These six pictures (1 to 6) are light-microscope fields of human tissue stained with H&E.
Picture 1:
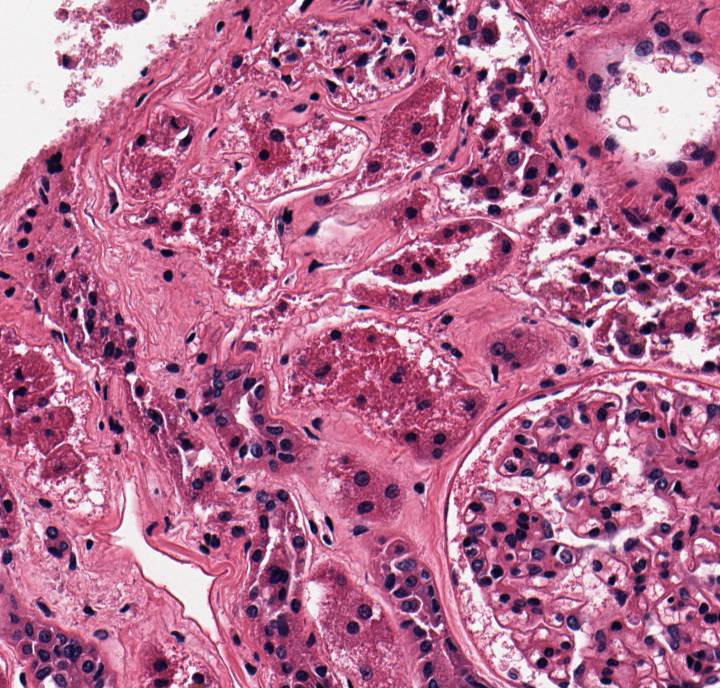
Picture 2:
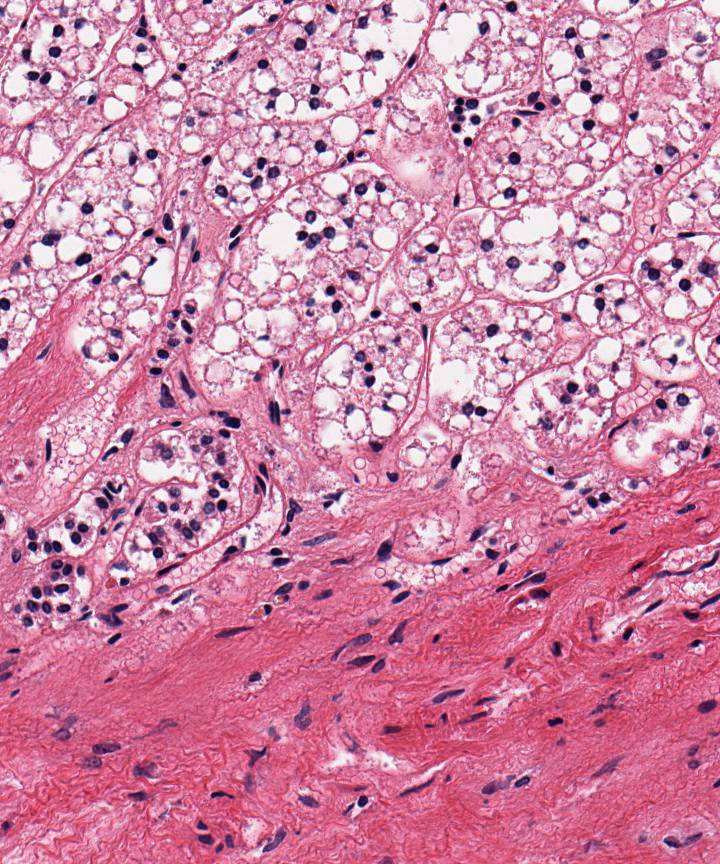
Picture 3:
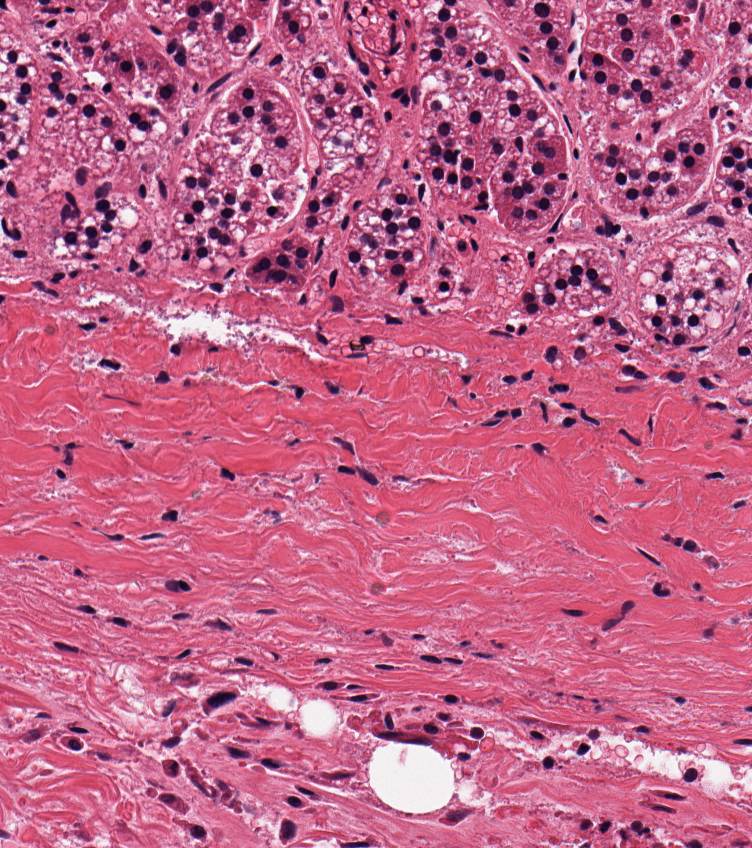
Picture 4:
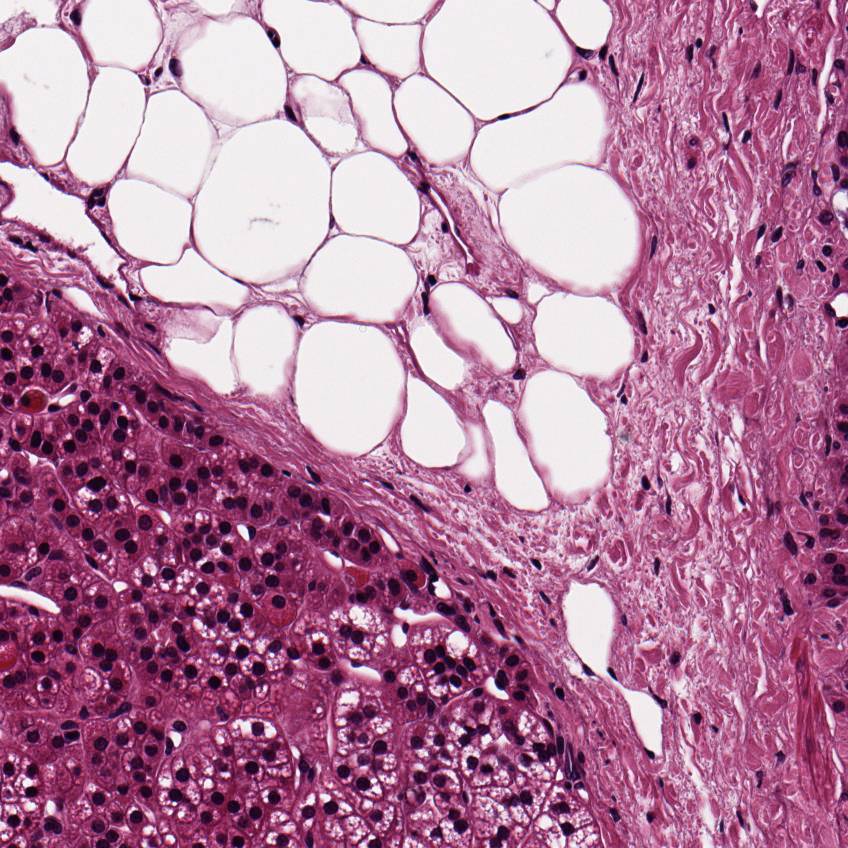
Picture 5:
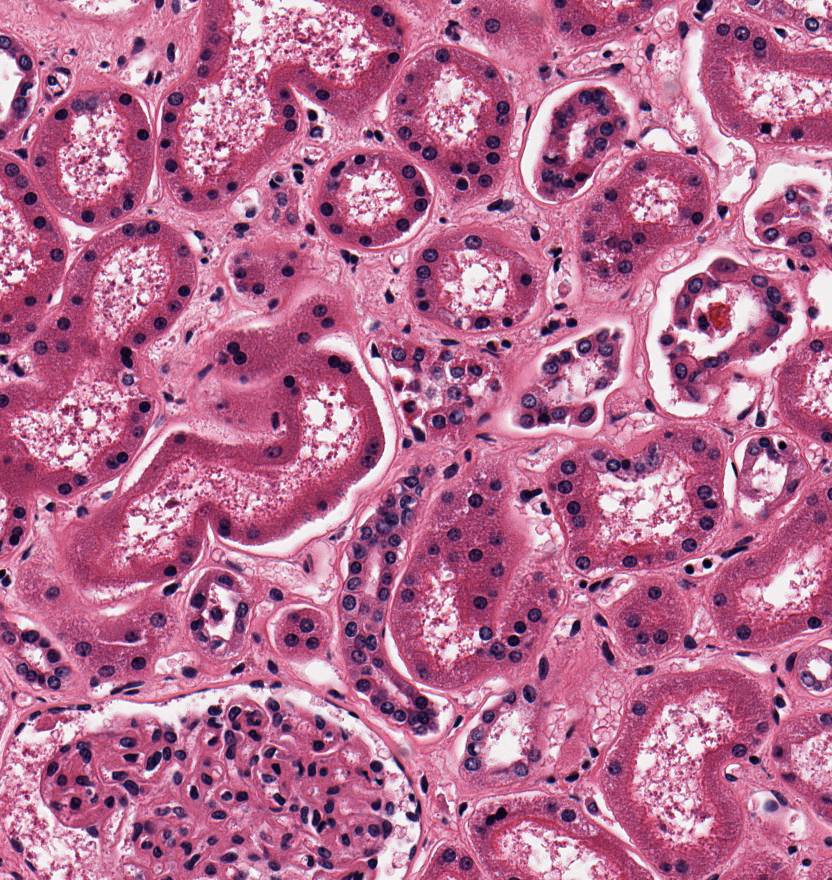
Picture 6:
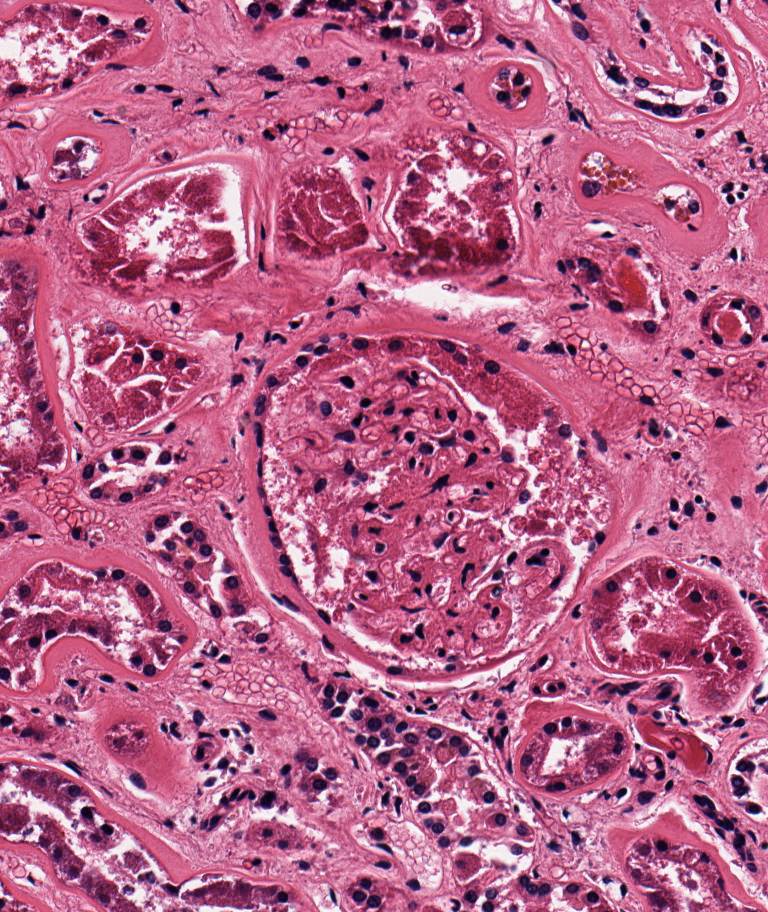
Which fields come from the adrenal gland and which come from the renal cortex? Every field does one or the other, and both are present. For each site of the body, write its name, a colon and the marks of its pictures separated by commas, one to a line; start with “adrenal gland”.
adrenal gland: 2, 3, 4
renal cortex: 1, 5, 6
